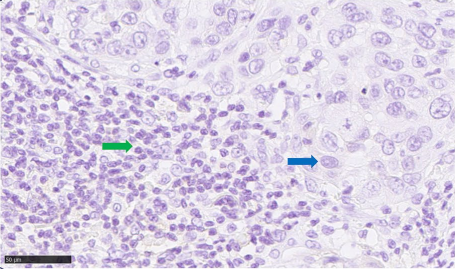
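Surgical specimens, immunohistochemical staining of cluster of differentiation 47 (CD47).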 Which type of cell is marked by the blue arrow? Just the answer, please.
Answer: Tumor cells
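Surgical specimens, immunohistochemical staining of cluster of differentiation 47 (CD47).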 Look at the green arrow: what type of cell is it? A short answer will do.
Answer: Immune cells.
